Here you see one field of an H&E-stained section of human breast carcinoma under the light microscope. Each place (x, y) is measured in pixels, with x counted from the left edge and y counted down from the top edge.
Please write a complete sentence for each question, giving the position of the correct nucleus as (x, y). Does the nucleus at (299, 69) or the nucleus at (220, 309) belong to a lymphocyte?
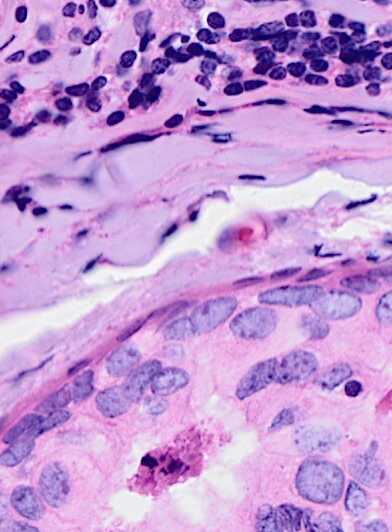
Only the nucleus at (299, 69), of the two, belongs to a lymphocyte.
